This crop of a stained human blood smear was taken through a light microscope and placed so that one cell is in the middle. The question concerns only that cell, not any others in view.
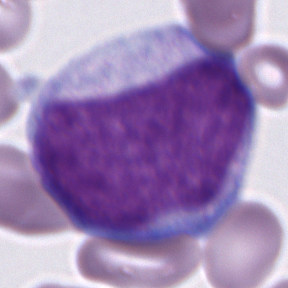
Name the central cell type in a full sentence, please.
In the center of this field lies a promyelocyte.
